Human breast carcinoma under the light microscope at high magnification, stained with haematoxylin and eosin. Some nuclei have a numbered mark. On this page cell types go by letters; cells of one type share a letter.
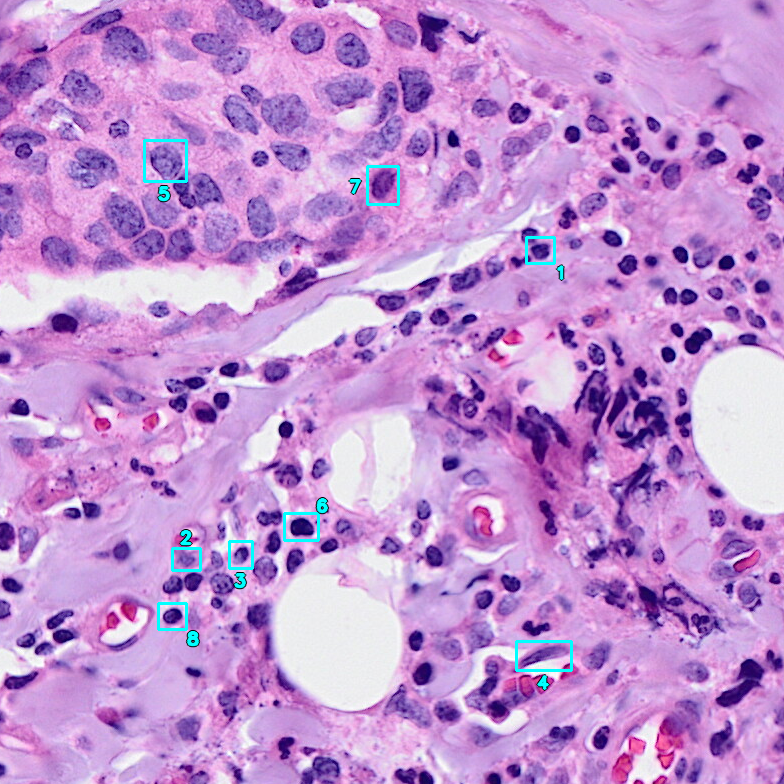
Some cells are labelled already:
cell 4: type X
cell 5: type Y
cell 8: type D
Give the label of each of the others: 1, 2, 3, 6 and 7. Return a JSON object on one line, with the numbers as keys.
{"1": "type D", "2": "type X", "3": "type D", "6": "type D", "7": "type Y"}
